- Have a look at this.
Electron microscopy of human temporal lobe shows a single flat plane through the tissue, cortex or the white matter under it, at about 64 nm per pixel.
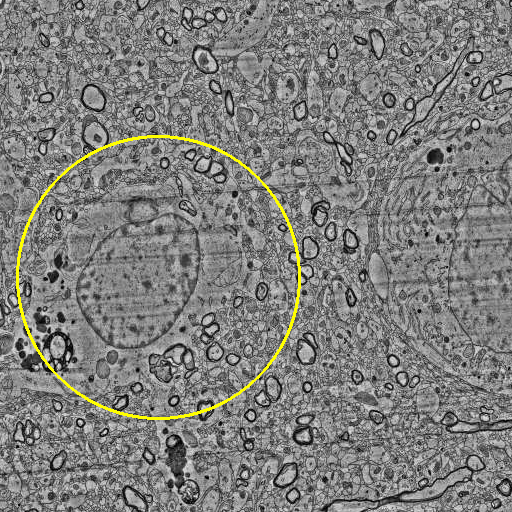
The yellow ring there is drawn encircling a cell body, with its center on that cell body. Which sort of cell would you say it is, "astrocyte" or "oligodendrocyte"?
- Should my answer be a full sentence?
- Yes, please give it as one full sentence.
For this picture, an astrocyte is the cell where the yellow ring has its center.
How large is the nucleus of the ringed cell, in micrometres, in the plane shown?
About 9 micrometres by about 7 micrometres in this plane.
